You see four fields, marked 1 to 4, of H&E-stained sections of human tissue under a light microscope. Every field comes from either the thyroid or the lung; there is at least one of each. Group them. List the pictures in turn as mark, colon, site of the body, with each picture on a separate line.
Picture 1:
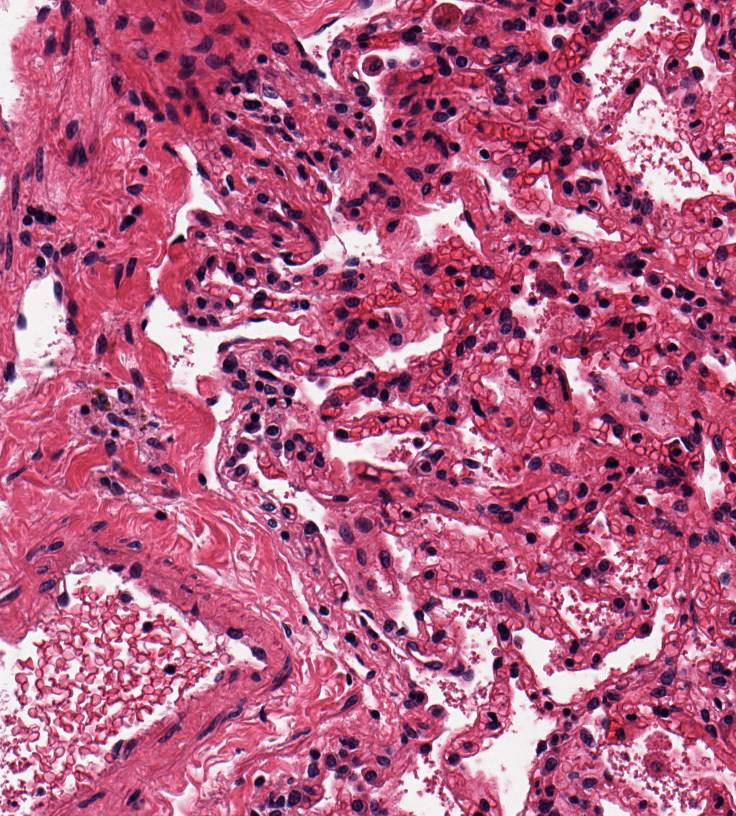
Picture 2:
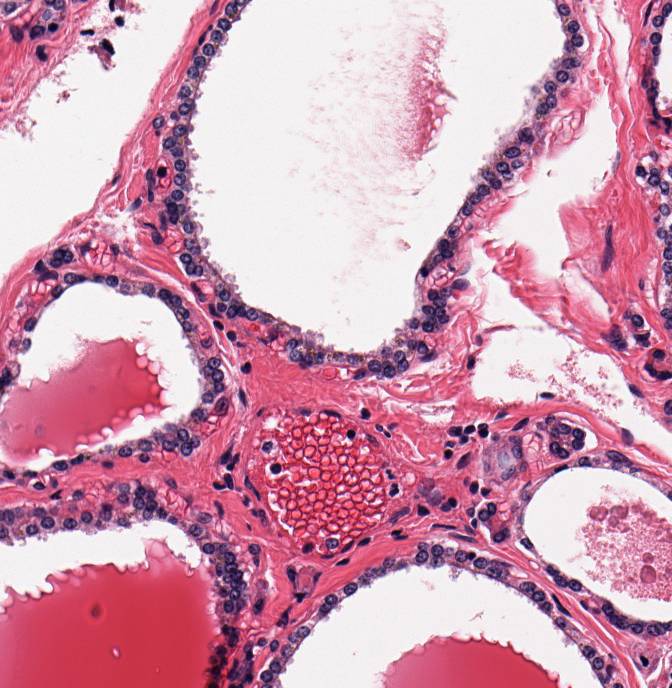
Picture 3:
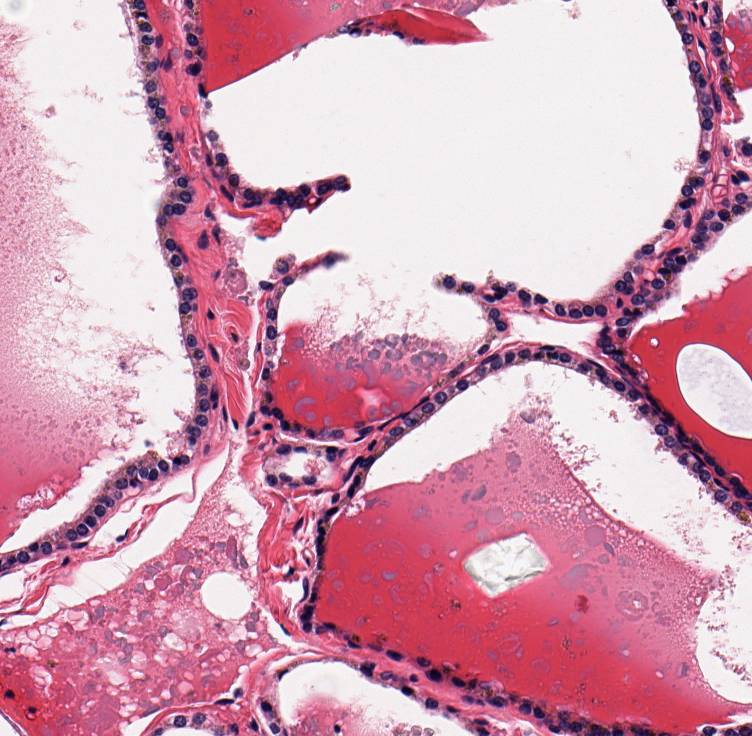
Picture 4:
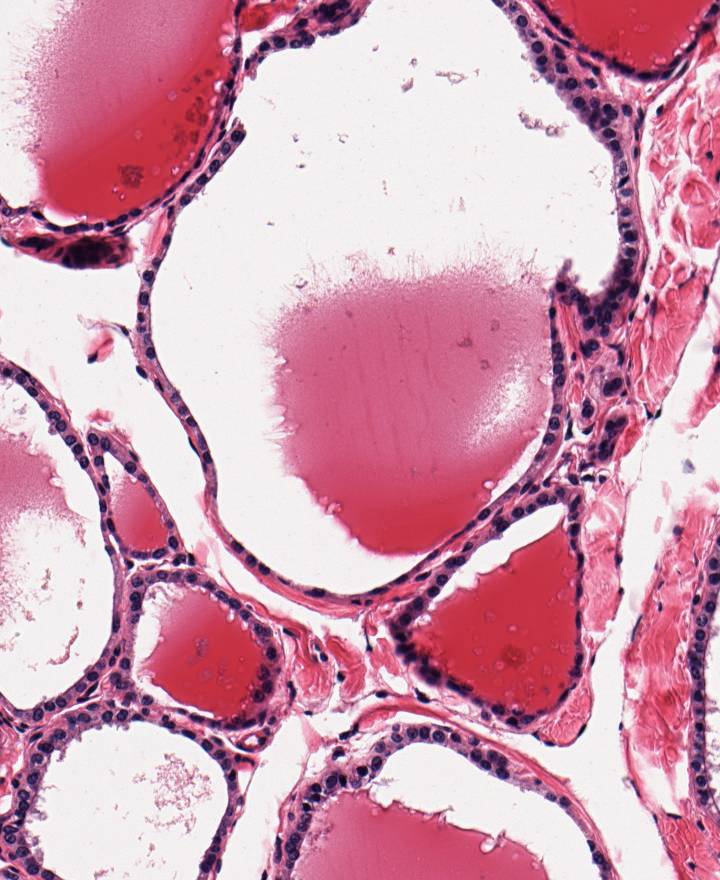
1: lung
2: thyroid
3: thyroid
4: thyroid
